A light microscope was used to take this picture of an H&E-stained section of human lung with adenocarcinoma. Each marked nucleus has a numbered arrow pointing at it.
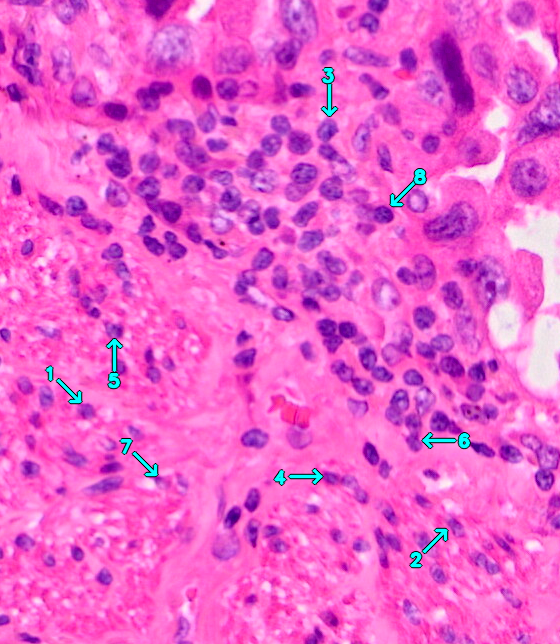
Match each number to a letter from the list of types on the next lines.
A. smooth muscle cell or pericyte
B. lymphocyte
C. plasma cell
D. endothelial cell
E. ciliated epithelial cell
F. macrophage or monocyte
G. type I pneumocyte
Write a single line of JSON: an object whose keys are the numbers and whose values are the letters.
{"1": "A", "2": "A", "3": "B", "4": "A", "5": "A", "6": "B", "7": "A", "8": "B"}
